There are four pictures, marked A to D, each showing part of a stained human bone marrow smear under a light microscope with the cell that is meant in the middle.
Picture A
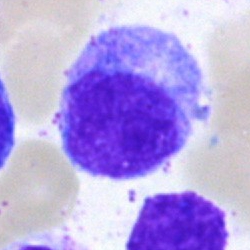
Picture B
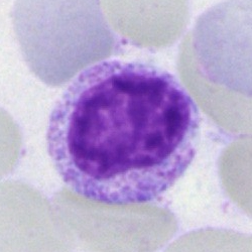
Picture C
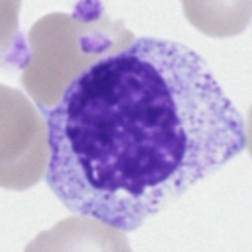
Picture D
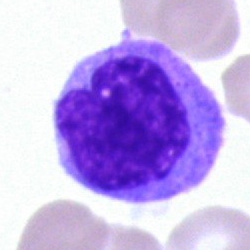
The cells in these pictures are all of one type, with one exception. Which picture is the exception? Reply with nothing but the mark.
D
